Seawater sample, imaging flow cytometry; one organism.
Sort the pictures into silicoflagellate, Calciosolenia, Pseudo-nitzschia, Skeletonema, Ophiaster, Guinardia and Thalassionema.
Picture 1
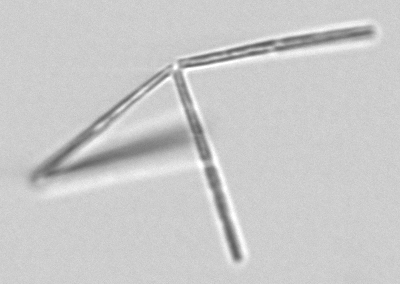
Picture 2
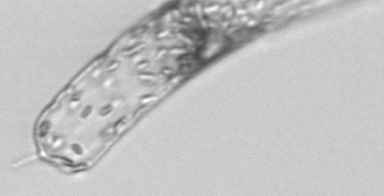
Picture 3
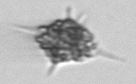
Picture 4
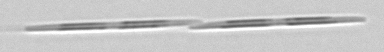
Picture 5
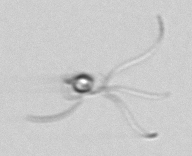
Thalassionema: 1
Guinardia: 2
Silicoflagellates: 3
Pseudo-nitzschia: 4
Ophiaster: 5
